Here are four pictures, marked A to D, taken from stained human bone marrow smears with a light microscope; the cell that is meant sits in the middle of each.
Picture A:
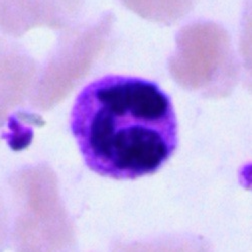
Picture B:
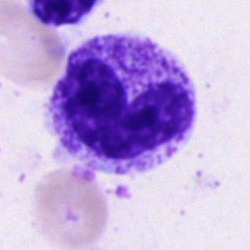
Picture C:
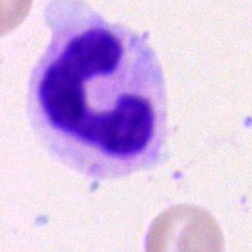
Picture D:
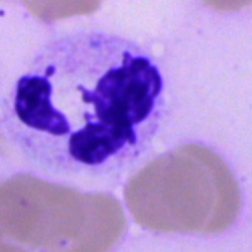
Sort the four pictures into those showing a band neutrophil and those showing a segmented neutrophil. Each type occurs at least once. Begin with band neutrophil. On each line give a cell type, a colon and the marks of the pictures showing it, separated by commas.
band neutrophil: B, C
segmented neutrophil: A, D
